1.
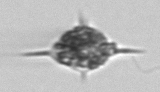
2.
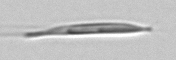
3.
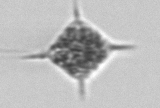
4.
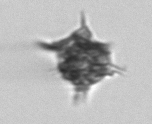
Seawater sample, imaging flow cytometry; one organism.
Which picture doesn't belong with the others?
Picture 2.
